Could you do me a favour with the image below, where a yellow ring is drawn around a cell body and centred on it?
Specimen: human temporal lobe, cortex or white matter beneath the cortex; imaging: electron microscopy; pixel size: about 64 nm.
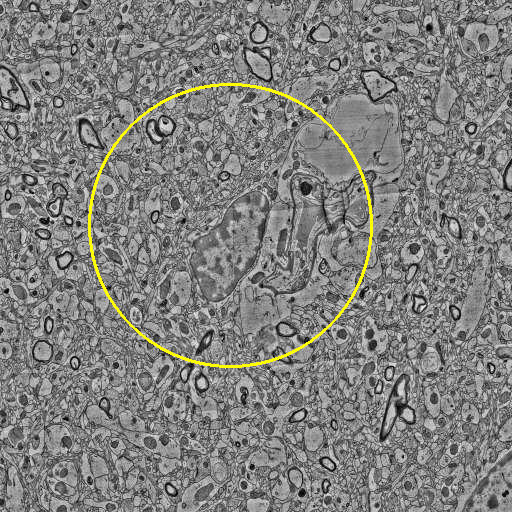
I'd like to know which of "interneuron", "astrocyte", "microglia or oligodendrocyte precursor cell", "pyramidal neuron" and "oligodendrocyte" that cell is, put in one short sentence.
The cell at the ring's centre is a microglial cell or oligodendrocyte precursor cell.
